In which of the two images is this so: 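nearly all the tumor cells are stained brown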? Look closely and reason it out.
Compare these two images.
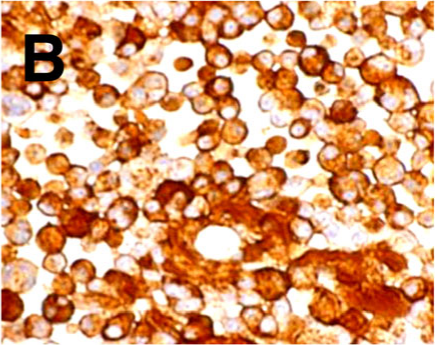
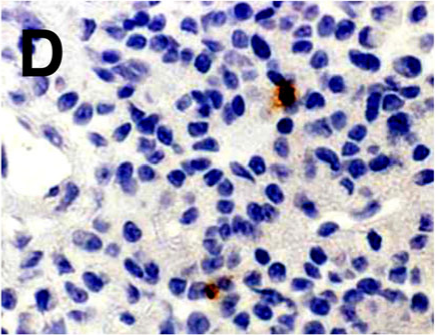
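Second image: only a few small brown spots among blue-stained nuclei. First image: brown colour fills the cytoplasm of almost every cell. That points to this answer: the first image.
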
